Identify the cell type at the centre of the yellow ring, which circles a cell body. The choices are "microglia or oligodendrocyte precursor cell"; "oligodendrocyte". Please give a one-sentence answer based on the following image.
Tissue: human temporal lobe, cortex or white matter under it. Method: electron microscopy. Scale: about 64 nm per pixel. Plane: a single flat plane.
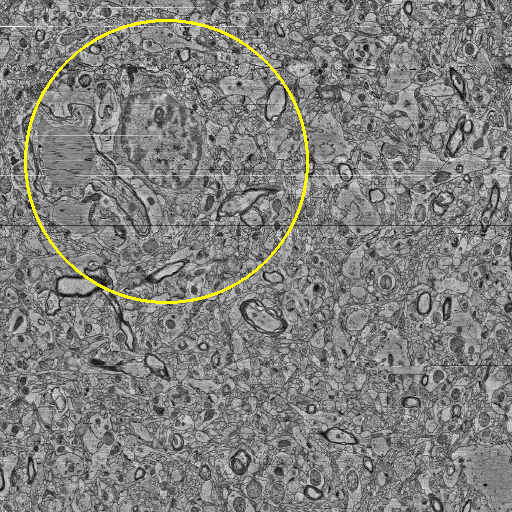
The cell marked by the ring is an oligodendrocyte.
